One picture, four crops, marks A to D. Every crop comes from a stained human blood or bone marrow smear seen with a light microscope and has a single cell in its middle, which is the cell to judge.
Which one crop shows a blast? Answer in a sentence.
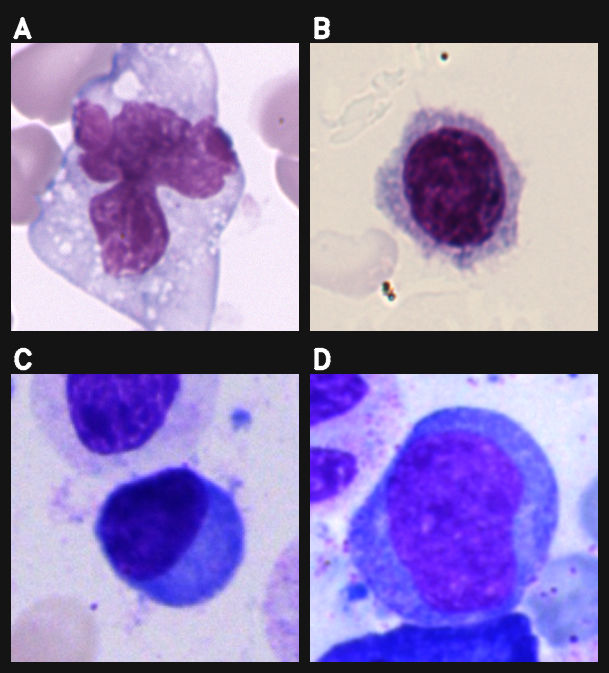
It is crop D that shows a blast.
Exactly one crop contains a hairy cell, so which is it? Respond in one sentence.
Crop B is the one depicting a hairy cell.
